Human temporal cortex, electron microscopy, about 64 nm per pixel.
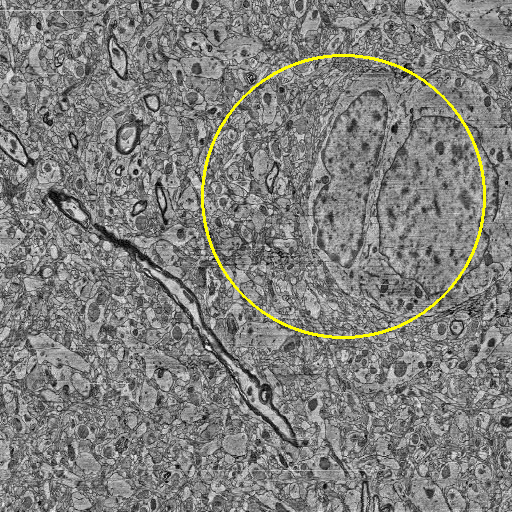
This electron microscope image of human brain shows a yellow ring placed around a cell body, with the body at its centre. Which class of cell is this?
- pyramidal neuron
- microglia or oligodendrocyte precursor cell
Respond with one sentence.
The cell body at the ring's centre is a microglial cell or oligodendrocyte precursor cell.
